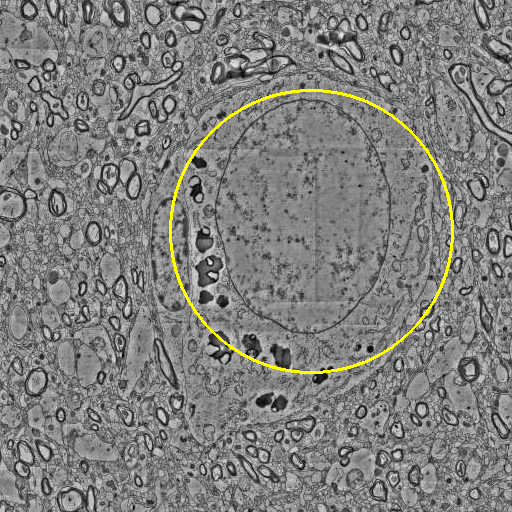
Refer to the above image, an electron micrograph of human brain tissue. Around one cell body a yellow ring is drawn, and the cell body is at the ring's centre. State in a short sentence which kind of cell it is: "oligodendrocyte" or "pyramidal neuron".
The centre of the ring falls on a pyramidal neuron.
